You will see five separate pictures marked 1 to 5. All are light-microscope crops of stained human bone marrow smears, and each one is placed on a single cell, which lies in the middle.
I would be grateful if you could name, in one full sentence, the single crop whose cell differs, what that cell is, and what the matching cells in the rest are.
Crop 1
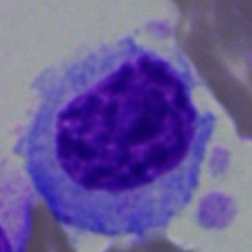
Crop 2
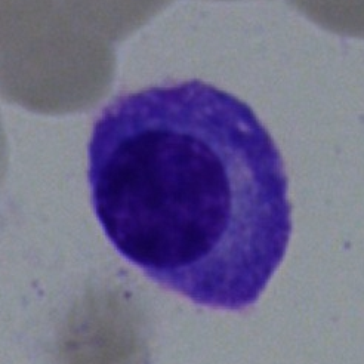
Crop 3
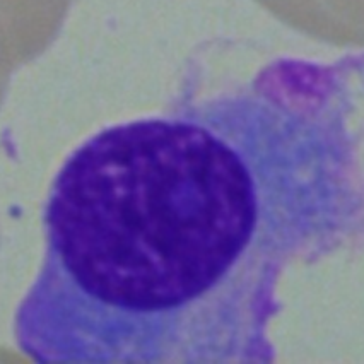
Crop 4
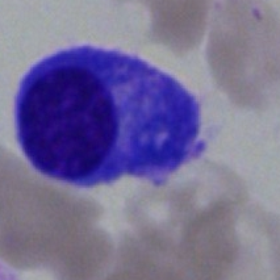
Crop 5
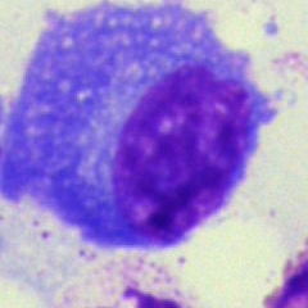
Every crop but one shows plasma cells; the exception, crop 1, shows a hairy cell.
